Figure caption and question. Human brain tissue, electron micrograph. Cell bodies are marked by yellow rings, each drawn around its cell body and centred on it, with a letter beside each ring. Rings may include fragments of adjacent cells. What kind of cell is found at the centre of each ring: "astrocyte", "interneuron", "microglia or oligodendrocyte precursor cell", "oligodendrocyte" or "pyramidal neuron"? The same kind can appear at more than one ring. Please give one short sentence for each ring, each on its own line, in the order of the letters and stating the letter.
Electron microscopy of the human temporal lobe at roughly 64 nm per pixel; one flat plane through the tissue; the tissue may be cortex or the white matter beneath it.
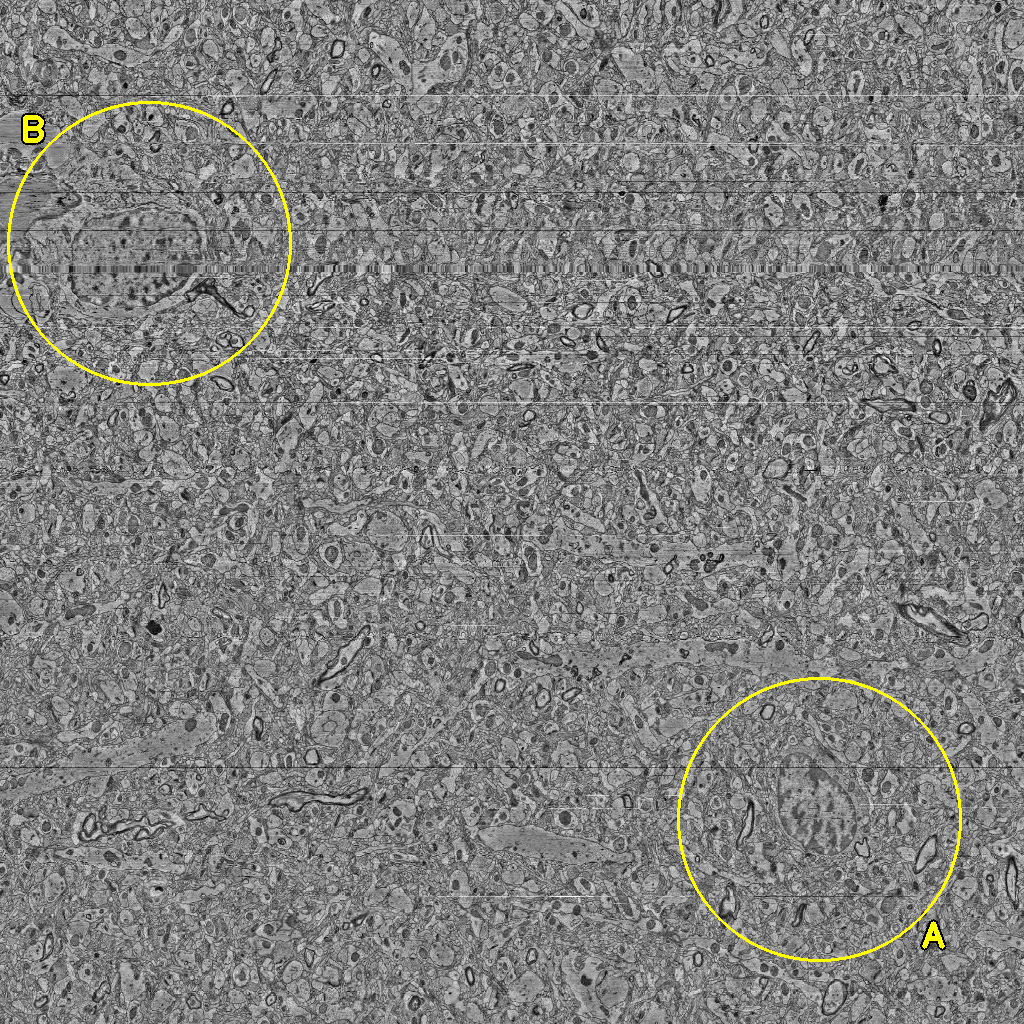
The centre of ring A falls on an oligodendrocyte.
The centre of ring B falls on a microglial cell or oligodendrocyte precursor cell.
